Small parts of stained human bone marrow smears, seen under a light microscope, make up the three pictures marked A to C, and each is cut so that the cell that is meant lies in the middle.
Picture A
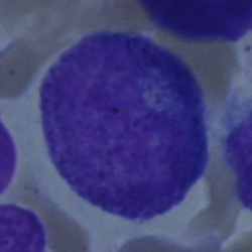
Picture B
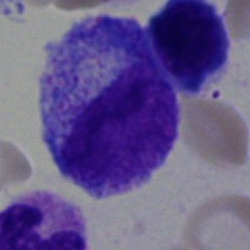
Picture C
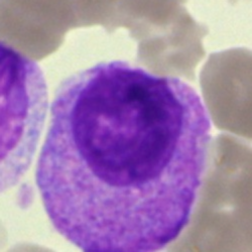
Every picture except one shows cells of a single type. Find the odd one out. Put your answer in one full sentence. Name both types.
Unlike the rest, which show promyelocytes, picture C shows a myelocyte.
